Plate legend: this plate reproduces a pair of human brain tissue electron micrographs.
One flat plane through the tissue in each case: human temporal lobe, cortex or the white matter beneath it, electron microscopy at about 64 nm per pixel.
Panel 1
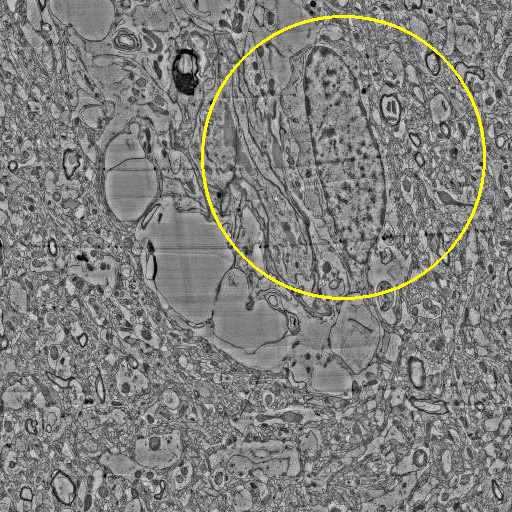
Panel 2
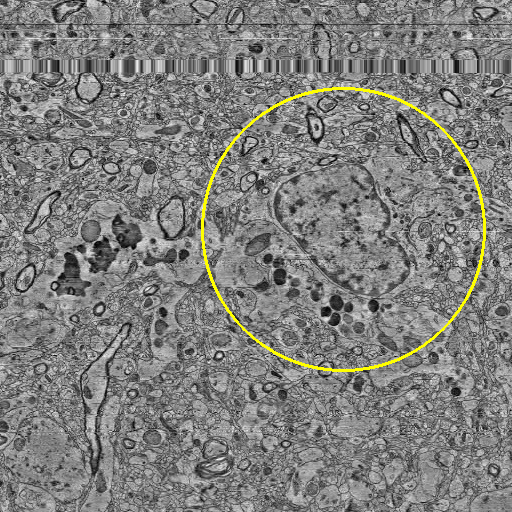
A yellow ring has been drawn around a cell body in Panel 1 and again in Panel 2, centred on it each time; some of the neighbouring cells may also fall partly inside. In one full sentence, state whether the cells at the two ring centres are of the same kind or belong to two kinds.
The ring-centred cells of Panel 1 and Panel 2 are of the same kind.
